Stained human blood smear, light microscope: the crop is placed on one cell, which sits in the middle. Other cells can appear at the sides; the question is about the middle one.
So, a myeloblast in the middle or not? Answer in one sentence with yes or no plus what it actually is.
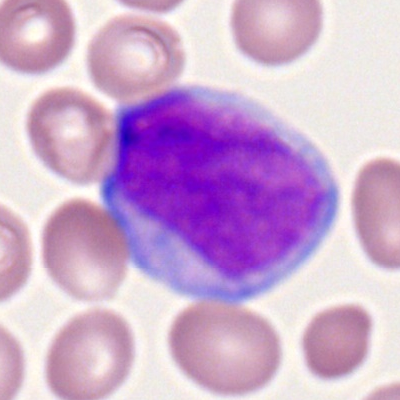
Yes, the cell that lies centrally is a myeloblast.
